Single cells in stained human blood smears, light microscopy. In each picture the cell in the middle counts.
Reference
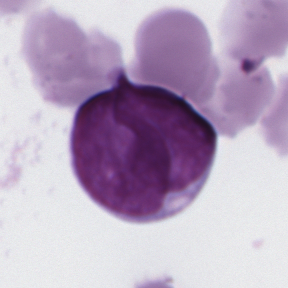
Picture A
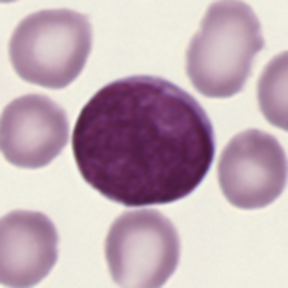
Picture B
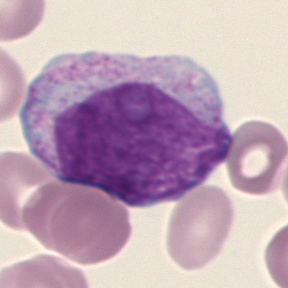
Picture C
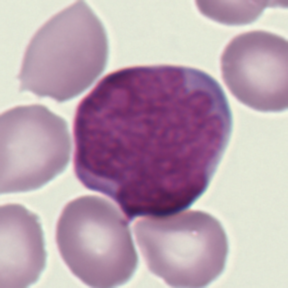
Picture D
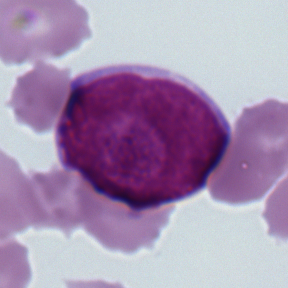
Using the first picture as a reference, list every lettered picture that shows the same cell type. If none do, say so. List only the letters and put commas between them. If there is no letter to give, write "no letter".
A, C, D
